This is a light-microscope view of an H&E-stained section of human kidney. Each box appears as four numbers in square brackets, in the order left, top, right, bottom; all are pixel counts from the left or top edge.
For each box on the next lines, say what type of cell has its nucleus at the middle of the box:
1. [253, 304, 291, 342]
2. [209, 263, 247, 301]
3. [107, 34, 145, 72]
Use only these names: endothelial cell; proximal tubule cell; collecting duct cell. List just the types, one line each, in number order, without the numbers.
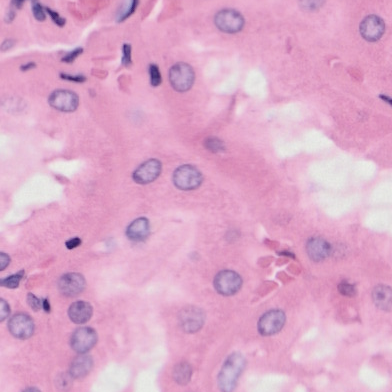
proximal tubule cell
proximal tubule cell
endothelial cell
